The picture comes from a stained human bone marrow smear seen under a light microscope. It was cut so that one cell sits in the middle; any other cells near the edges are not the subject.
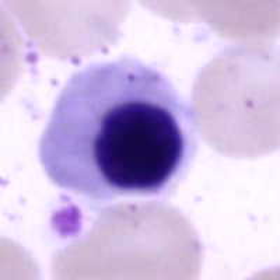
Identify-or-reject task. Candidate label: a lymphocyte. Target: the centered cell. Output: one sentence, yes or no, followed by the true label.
No, the correct answer for the middle cell is an erythroblast, not a lymphocyte.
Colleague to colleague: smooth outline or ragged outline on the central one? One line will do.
A smooth, projection-free outline is what this cell has.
